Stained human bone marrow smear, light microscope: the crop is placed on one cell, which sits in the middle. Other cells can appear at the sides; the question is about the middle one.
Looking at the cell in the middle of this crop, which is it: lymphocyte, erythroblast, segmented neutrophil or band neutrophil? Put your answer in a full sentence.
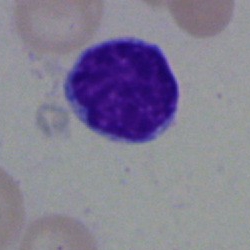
In short, the cell at the center is a lymphocyte.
